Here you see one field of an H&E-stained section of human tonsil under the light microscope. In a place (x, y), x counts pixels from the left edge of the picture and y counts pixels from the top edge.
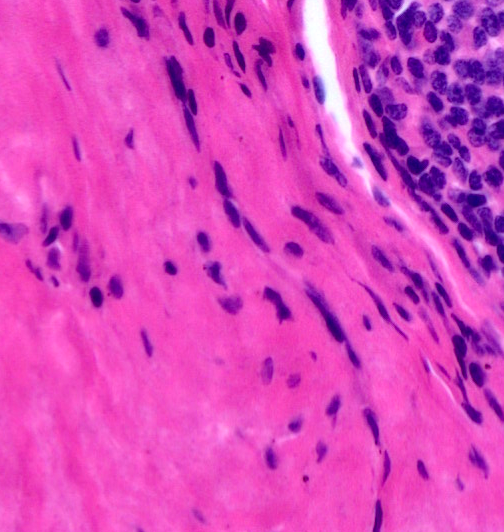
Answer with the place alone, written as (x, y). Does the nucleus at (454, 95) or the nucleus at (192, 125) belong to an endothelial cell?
(192, 125)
